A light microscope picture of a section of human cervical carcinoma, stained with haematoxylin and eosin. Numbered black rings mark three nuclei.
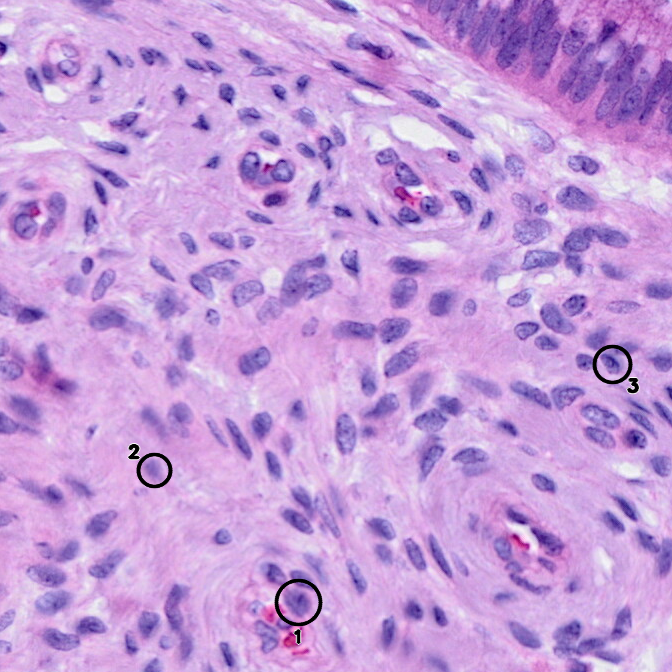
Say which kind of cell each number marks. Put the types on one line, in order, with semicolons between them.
endothelial cell; fibroblast; fibroblast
